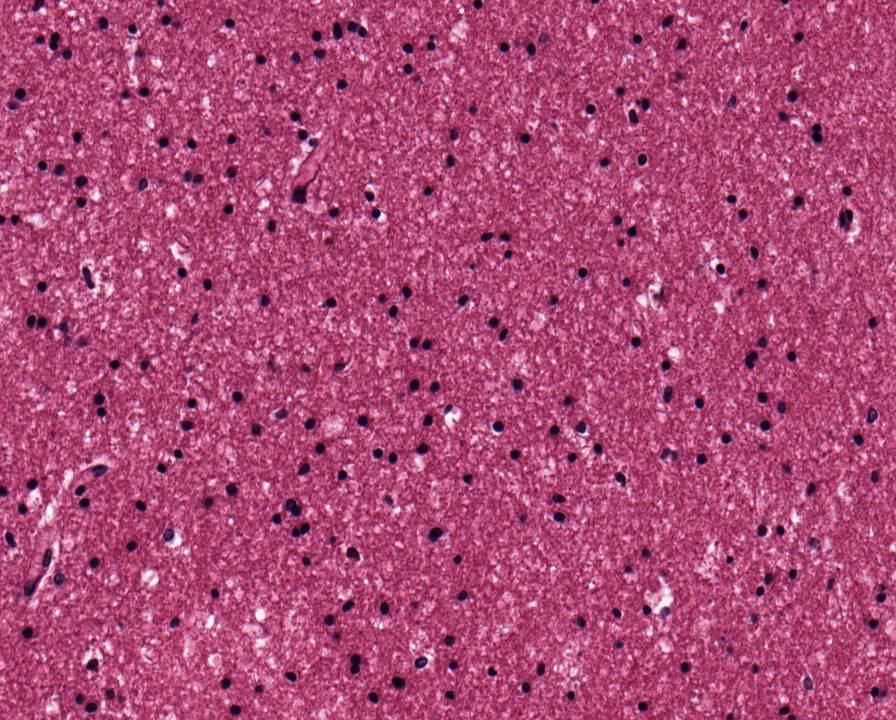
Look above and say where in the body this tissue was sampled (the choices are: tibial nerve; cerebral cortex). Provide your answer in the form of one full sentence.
The tissue in this section derives from the cerebral cortex.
